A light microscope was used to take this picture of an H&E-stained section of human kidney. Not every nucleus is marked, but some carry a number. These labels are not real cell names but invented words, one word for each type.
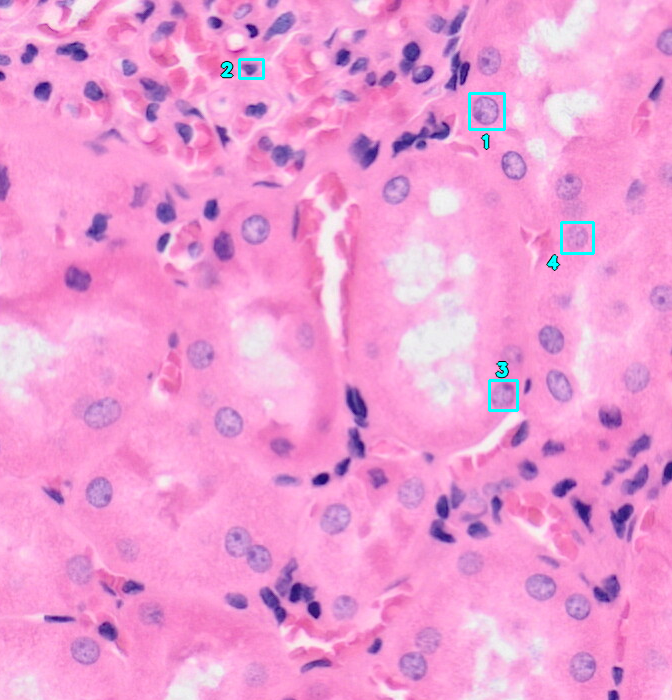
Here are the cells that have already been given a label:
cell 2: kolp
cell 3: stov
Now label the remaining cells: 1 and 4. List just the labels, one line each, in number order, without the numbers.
stov
stov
